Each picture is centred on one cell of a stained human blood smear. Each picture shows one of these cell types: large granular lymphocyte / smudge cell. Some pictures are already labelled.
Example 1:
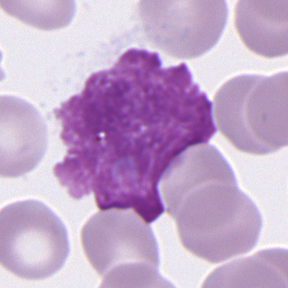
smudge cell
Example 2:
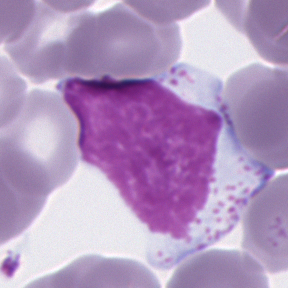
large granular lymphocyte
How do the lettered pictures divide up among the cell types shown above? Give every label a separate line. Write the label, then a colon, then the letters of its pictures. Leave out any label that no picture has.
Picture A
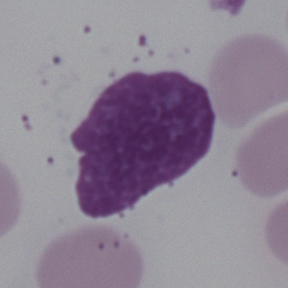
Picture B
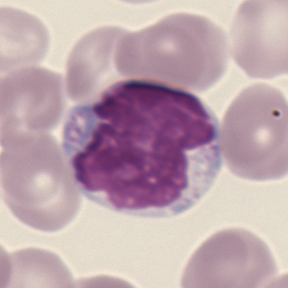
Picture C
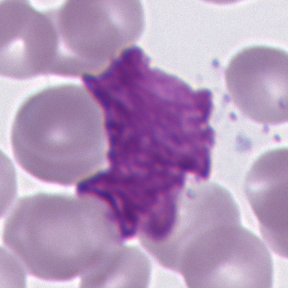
large granular lymphocyte: B
smudge cell: A, C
